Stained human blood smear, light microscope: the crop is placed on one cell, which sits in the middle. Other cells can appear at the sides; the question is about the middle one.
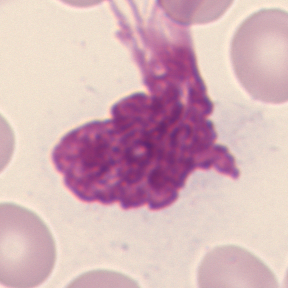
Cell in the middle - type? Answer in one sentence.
Centred in the crop is a smudge cell.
